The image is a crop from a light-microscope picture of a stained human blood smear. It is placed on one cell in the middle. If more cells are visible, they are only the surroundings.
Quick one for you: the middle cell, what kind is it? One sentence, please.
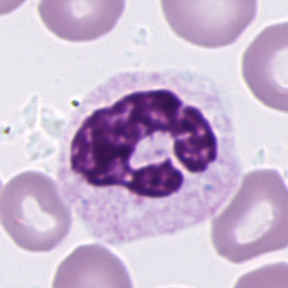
In this crop, the cell at the very middle is a segmented neutrophil.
